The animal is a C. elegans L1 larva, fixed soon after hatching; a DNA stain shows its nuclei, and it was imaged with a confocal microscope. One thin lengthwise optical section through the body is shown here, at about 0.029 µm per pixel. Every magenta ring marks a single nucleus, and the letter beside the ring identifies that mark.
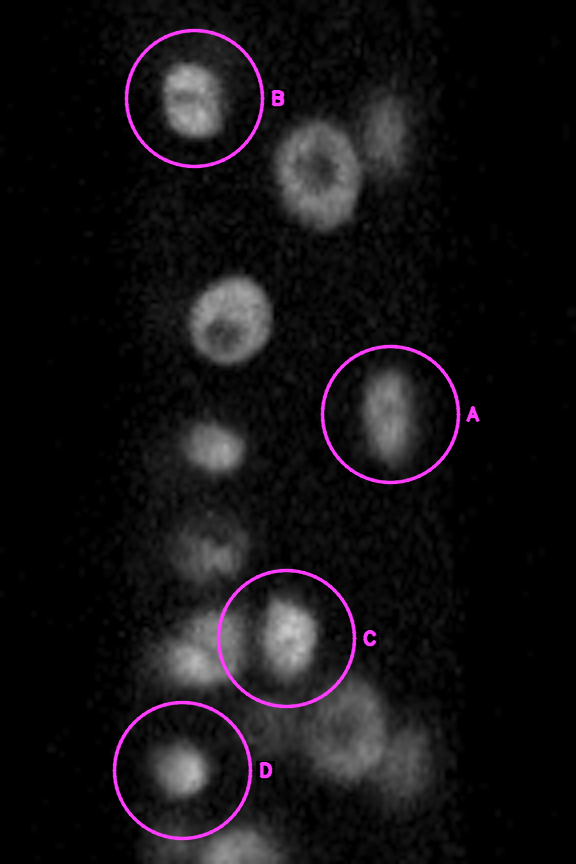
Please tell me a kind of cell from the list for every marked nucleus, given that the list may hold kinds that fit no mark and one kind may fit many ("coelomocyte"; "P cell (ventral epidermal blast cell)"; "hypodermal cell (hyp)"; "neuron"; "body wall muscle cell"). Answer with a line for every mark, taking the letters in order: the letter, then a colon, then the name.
A: body wall muscle cell
B: P cell (ventral epidermal blast cell)
C: neuron
D: coelomocyte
